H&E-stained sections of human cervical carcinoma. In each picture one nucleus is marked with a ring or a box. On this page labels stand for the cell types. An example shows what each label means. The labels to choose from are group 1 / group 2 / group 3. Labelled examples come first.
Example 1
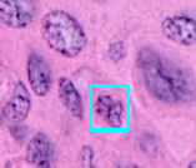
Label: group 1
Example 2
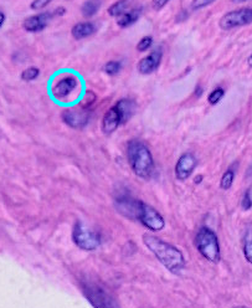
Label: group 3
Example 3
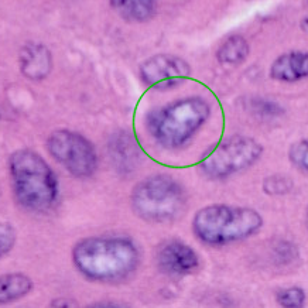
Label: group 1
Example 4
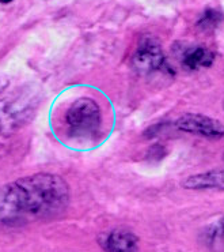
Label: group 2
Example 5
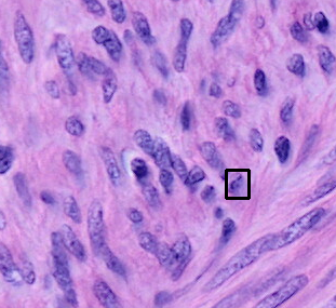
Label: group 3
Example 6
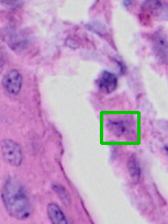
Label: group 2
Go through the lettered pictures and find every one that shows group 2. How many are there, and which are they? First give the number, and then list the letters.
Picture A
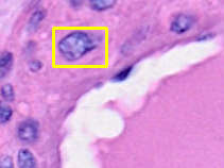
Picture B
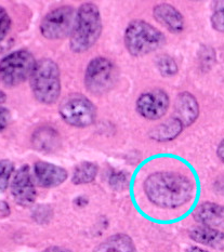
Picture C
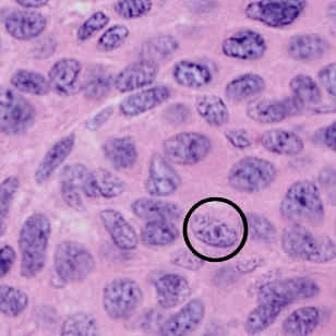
0, none of them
